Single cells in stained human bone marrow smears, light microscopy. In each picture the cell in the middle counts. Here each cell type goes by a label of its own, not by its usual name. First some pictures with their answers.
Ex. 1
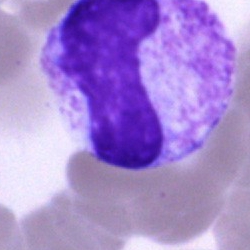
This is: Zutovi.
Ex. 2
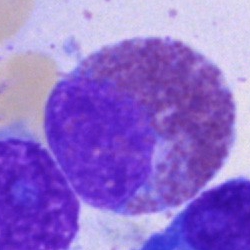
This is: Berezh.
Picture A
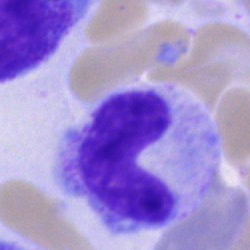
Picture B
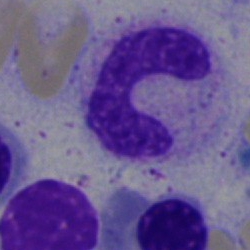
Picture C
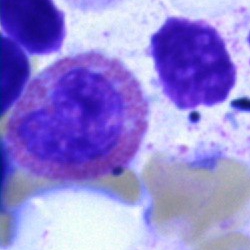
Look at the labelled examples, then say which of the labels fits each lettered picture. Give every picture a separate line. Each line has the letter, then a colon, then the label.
A: Zutovi.
B: Zutovi.
C: Berezh.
